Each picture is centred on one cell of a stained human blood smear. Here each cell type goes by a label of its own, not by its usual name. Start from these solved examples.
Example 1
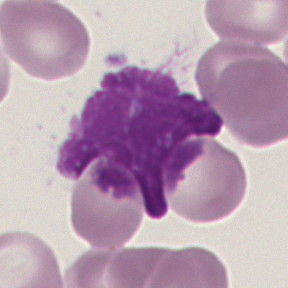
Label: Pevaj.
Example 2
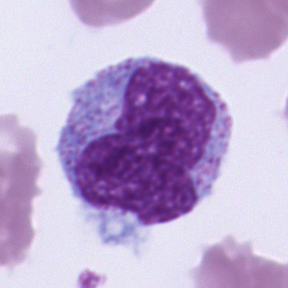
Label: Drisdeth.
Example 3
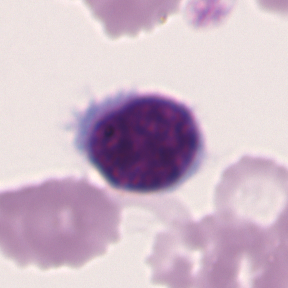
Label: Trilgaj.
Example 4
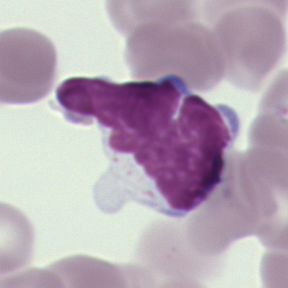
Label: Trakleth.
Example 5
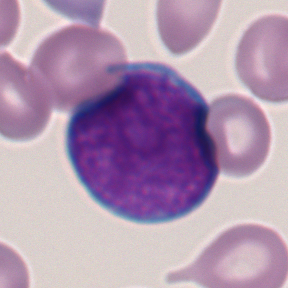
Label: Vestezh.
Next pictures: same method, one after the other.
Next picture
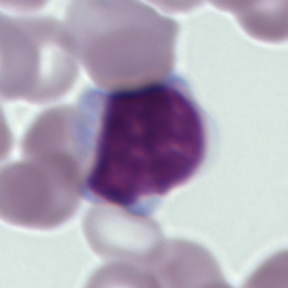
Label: Trakleth.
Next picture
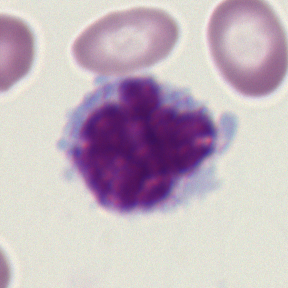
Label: Trakleth.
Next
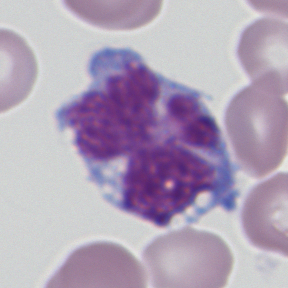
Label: Drisdeth.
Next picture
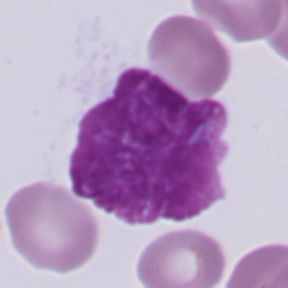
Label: Pevaj.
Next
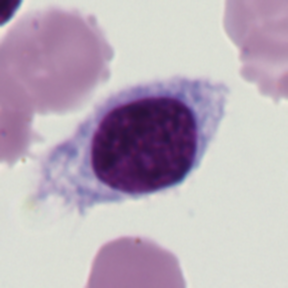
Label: Trilgaj.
